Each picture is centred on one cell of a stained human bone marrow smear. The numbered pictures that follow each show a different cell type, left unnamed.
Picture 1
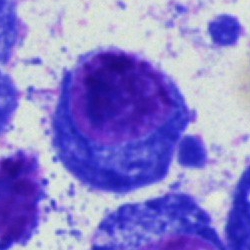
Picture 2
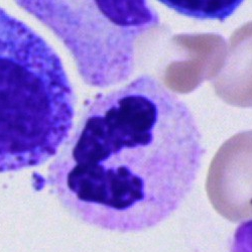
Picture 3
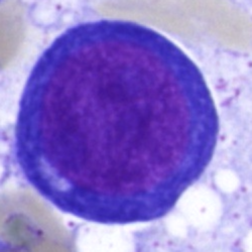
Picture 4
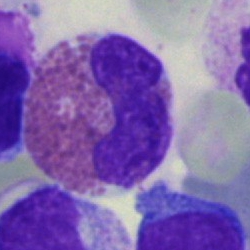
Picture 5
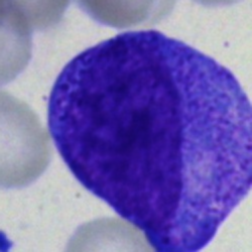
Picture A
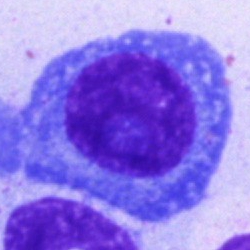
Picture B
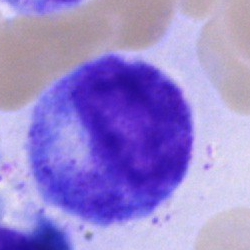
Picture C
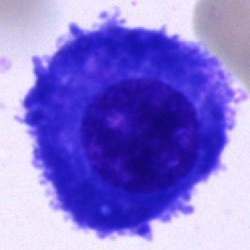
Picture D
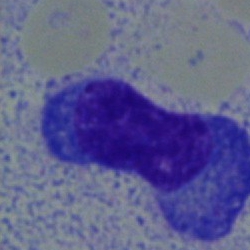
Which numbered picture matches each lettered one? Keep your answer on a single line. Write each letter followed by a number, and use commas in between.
A 1, B 5, C 1, D 1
